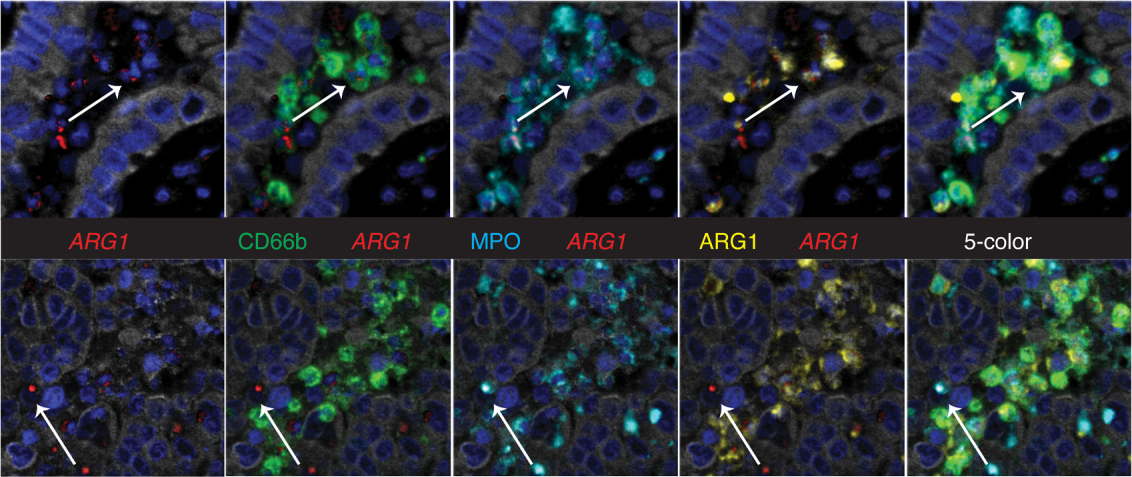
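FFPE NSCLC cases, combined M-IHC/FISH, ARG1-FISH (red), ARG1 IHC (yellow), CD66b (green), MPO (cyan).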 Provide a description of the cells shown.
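In tumour tissue, clusters of small round cells with green and cyan cytoplasm, several also yellow, crowd beside sheets and rows of much larger cells with big round blue nuclei. The arrowed small cells carry a few red dots over them.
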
